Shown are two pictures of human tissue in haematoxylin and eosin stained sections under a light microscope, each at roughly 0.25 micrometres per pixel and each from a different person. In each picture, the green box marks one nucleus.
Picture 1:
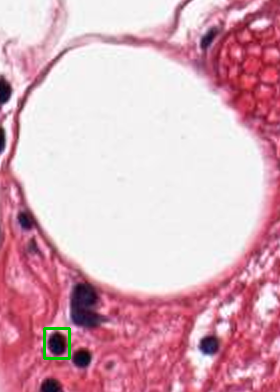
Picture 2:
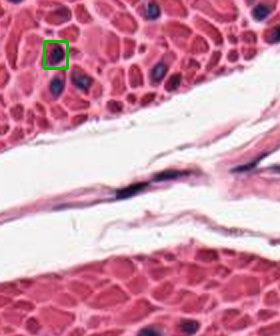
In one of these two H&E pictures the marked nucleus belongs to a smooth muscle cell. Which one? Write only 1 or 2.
2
